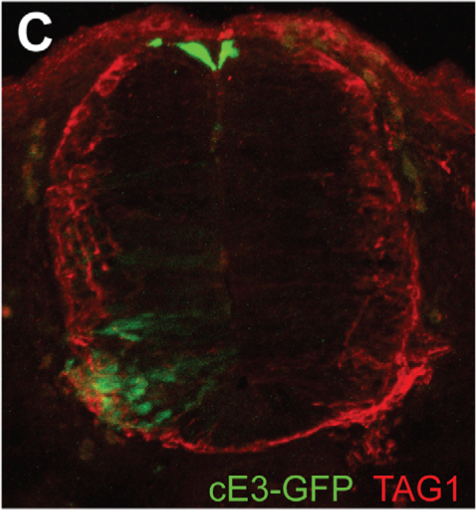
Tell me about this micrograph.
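A round cross-section of the neural tube is outlined by red staining along its outer margin, strongest ventrally and laterally. In the lateral ventral part of one half, a group of green cells sits with faint green fibres running toward the midline. A small bright green wedge of cells lies at the dorsal midline. The ventral green cells are differentiated motor neurons and the dorsal ones roof plate cells.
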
